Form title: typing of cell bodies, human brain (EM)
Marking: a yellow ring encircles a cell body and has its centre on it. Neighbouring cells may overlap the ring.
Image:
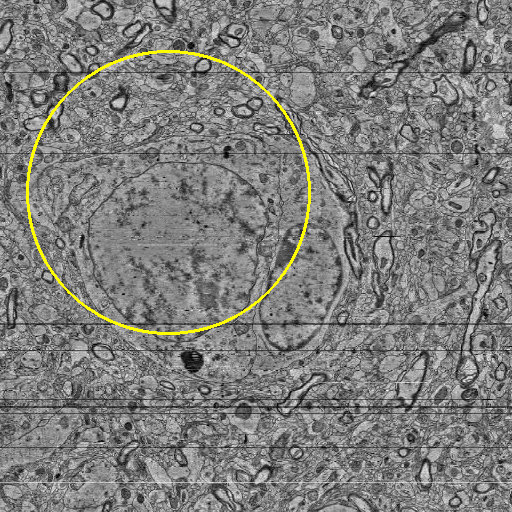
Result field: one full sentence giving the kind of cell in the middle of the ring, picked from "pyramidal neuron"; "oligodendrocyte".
In the picture, the ring is centred on a pyramidal neuron, whose cell body it encircles.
